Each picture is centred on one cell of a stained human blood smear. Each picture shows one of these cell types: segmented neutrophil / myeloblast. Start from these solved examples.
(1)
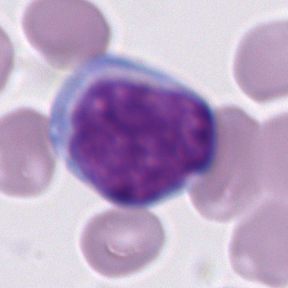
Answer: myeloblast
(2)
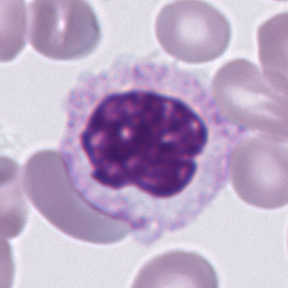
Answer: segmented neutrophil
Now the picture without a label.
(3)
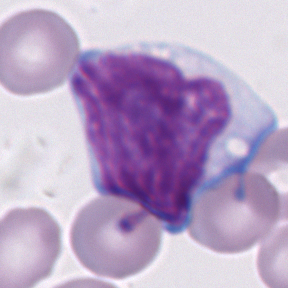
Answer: myeloblast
